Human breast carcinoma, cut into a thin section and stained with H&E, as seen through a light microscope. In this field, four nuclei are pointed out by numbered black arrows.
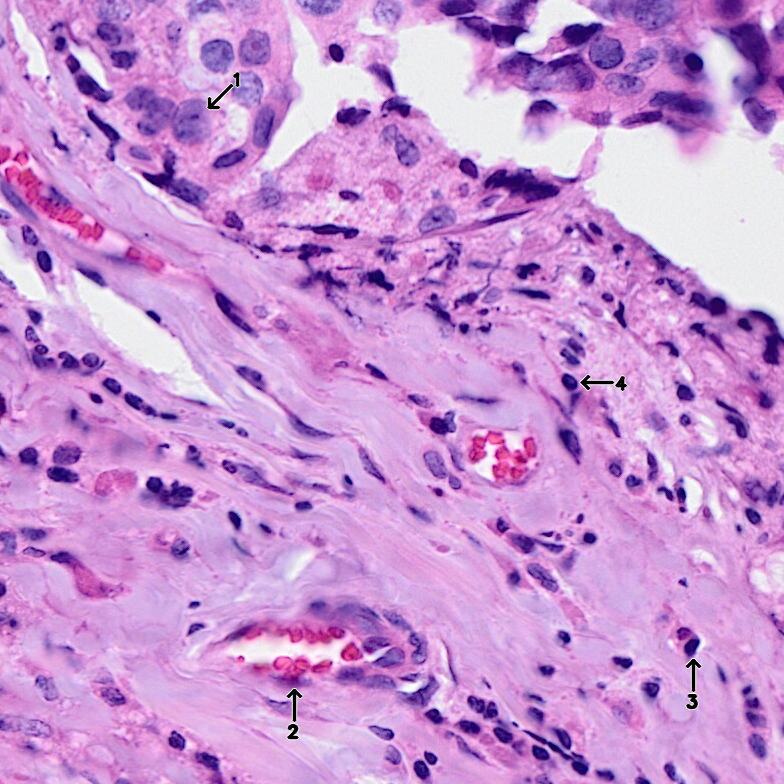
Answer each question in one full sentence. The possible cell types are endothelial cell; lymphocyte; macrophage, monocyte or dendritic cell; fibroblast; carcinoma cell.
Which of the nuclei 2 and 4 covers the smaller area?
The smaller nucleus is 4, and 2 covers roughly 1.5 times its area.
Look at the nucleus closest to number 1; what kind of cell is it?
The cell nearest to number 1 is a carcinoma cell.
